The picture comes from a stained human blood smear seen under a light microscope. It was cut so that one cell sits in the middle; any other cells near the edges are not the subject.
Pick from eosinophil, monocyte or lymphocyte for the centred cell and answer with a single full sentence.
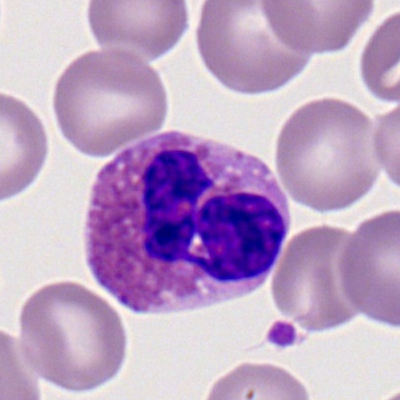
At the crop's centre, the cell is an eosinophil.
